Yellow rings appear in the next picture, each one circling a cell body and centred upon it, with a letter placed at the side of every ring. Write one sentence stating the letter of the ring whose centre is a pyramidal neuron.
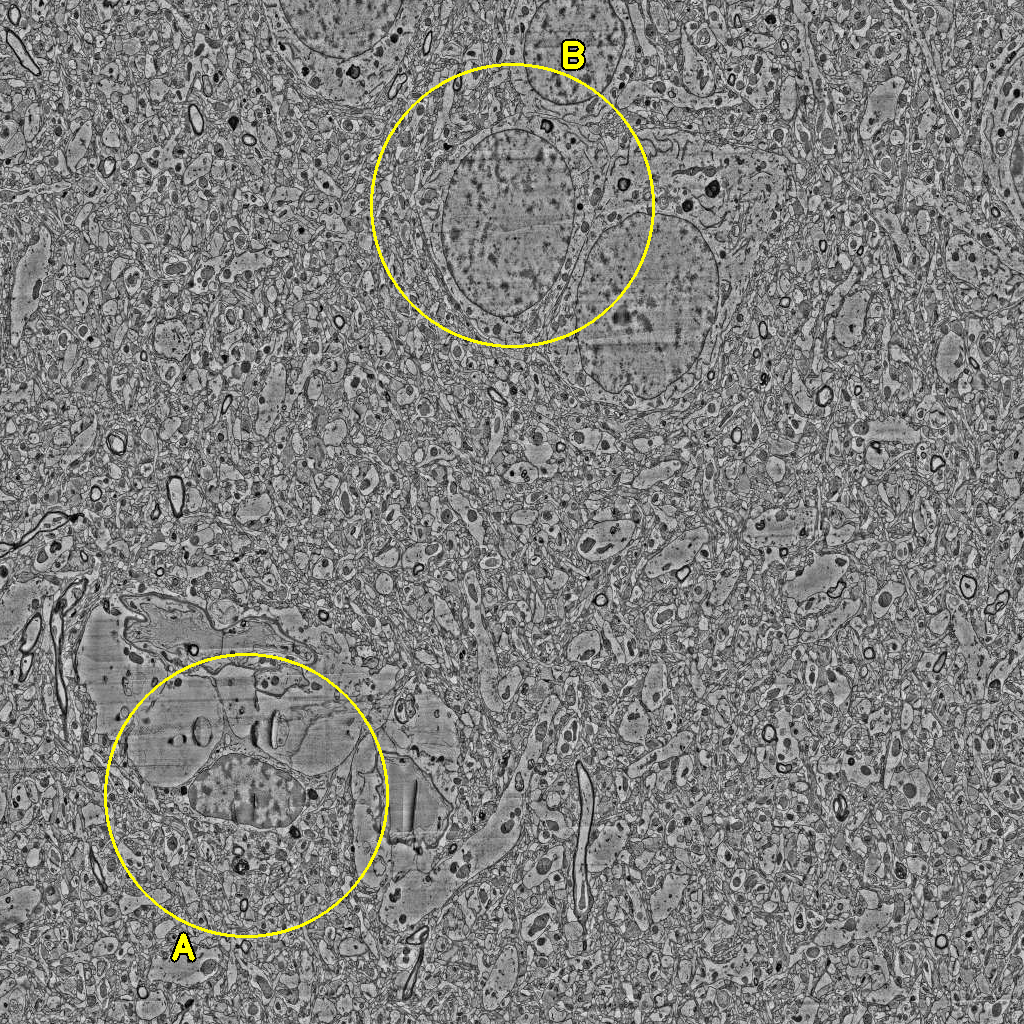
In the picture, the cell asked for lies at the centre of ring B.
